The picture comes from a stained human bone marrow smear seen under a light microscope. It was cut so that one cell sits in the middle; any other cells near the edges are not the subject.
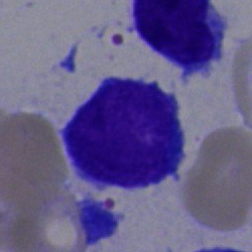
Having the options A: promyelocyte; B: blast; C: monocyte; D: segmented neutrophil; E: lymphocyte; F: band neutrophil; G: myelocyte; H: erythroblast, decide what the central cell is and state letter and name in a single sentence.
Since the middle cell is a blast, option B is the right one.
